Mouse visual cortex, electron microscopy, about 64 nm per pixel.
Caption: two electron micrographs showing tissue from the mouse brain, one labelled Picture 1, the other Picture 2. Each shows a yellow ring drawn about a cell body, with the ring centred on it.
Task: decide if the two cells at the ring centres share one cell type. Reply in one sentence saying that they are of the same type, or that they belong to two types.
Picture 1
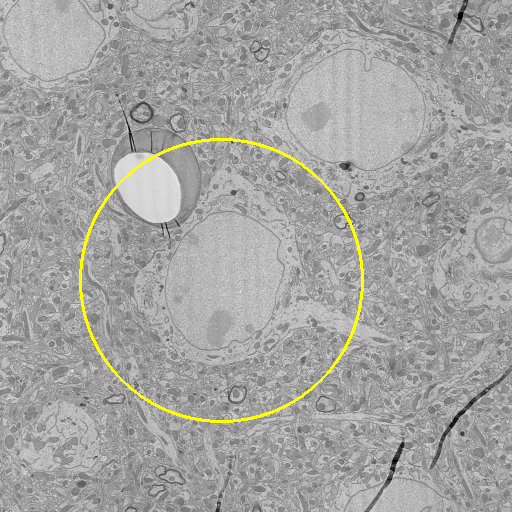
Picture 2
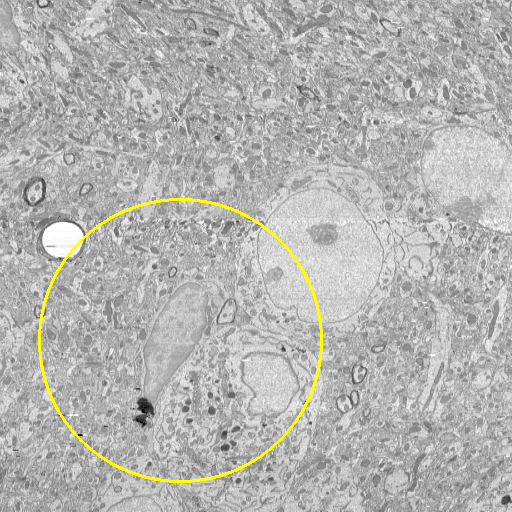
The cells at the ring centres in Picture 1 and Picture 2 belong to two types.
